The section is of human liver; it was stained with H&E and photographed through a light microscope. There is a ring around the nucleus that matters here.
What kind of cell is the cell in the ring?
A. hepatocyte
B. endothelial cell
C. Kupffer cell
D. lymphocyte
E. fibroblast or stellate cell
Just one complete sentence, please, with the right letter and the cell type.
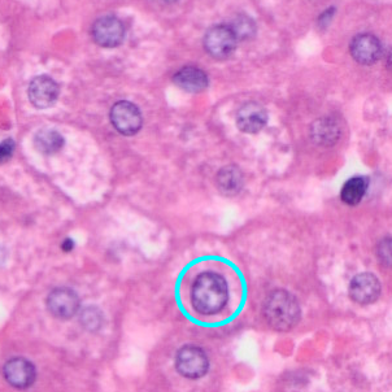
Option A gets it right, as the cell in the ring is a hepatocyte.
